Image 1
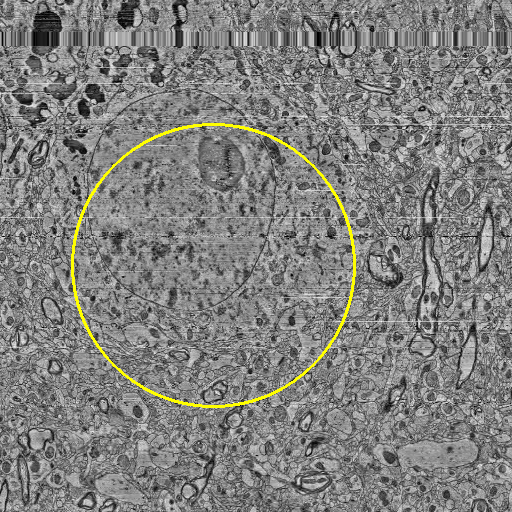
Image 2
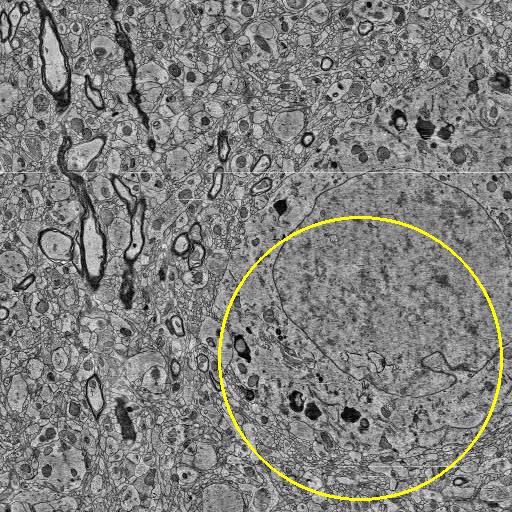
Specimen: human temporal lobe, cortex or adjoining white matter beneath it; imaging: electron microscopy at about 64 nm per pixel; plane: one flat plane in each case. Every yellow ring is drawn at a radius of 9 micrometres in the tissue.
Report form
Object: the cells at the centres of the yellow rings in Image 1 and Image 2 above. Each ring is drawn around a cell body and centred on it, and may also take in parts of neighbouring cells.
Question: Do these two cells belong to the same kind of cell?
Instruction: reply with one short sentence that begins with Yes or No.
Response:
Yes, both belong to the same kind of cell.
